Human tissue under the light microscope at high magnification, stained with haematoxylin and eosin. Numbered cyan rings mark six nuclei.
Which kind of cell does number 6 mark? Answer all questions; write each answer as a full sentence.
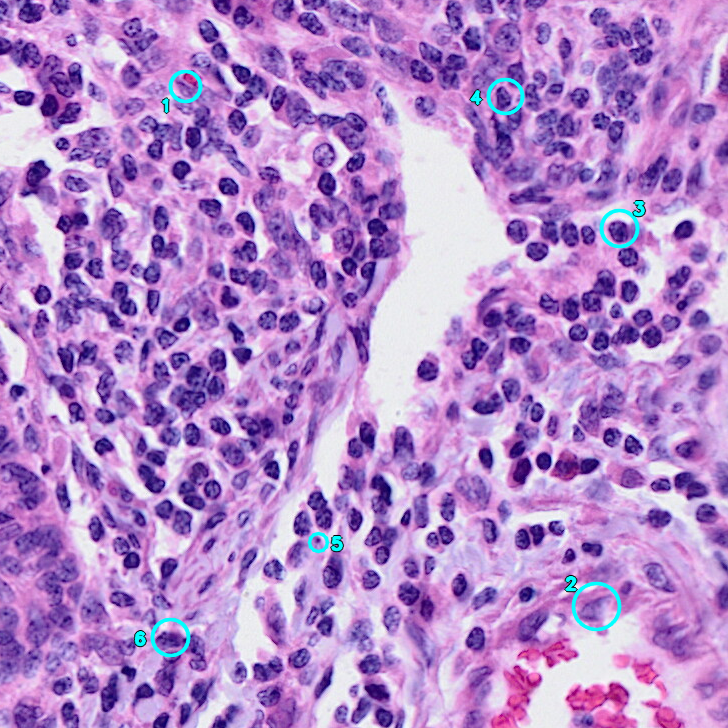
The cell that bears the number 6 is a lymphocyte.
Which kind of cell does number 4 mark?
Cell 4 of the marked set is a lymphocyte.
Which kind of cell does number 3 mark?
Belonging to a lymphocyte is the nucleus that carries the number 3.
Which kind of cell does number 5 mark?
The cell that carries the label 5 is a lymphocyte.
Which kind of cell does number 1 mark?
Identified by the number 1, the cell is an endothelial cell.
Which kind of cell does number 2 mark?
The numbered cell 2 is identified here as an endothelial cell.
